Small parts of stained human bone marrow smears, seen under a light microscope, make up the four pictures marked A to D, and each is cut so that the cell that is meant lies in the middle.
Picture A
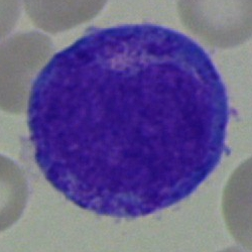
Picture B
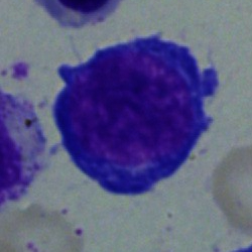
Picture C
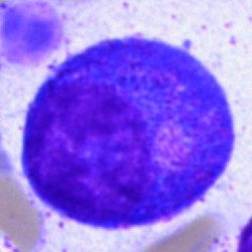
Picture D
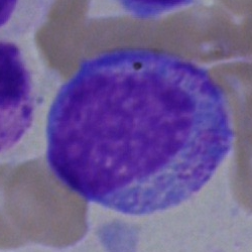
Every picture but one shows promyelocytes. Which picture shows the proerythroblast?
B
